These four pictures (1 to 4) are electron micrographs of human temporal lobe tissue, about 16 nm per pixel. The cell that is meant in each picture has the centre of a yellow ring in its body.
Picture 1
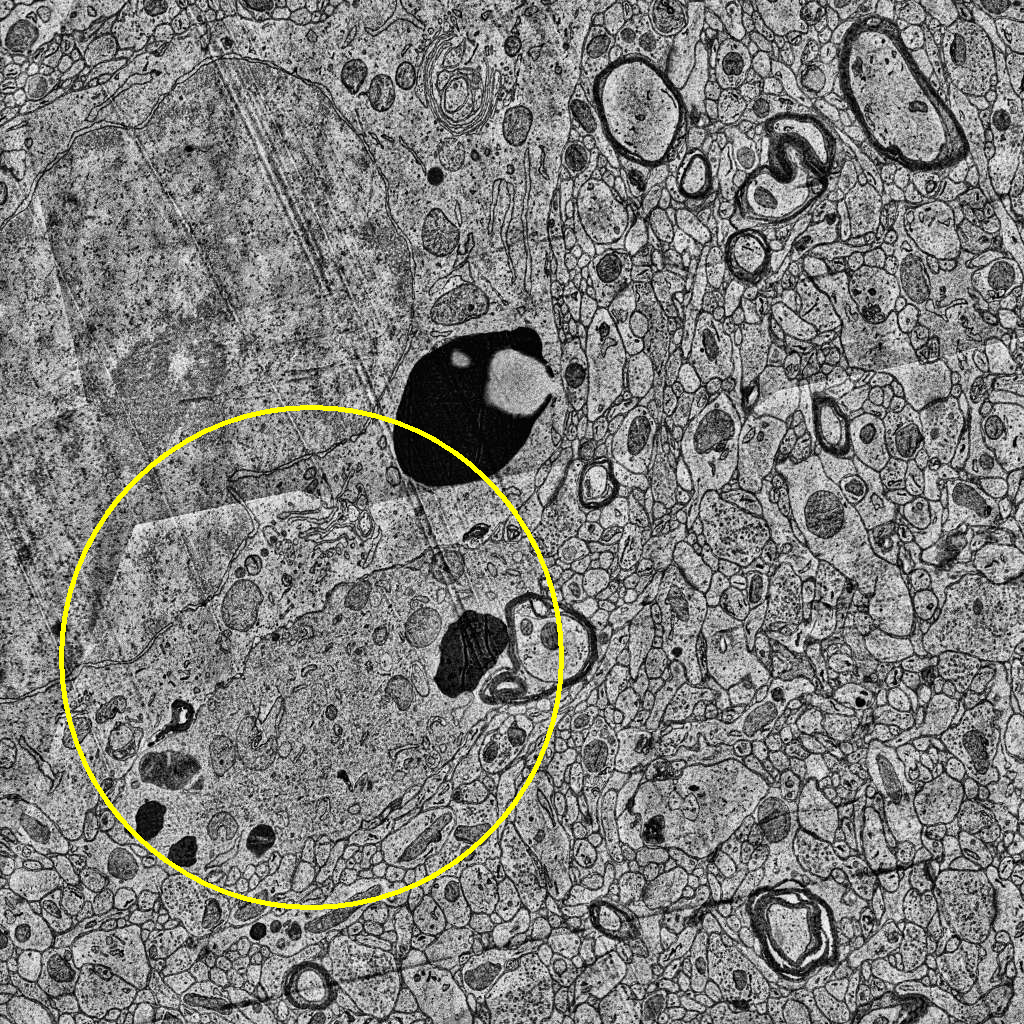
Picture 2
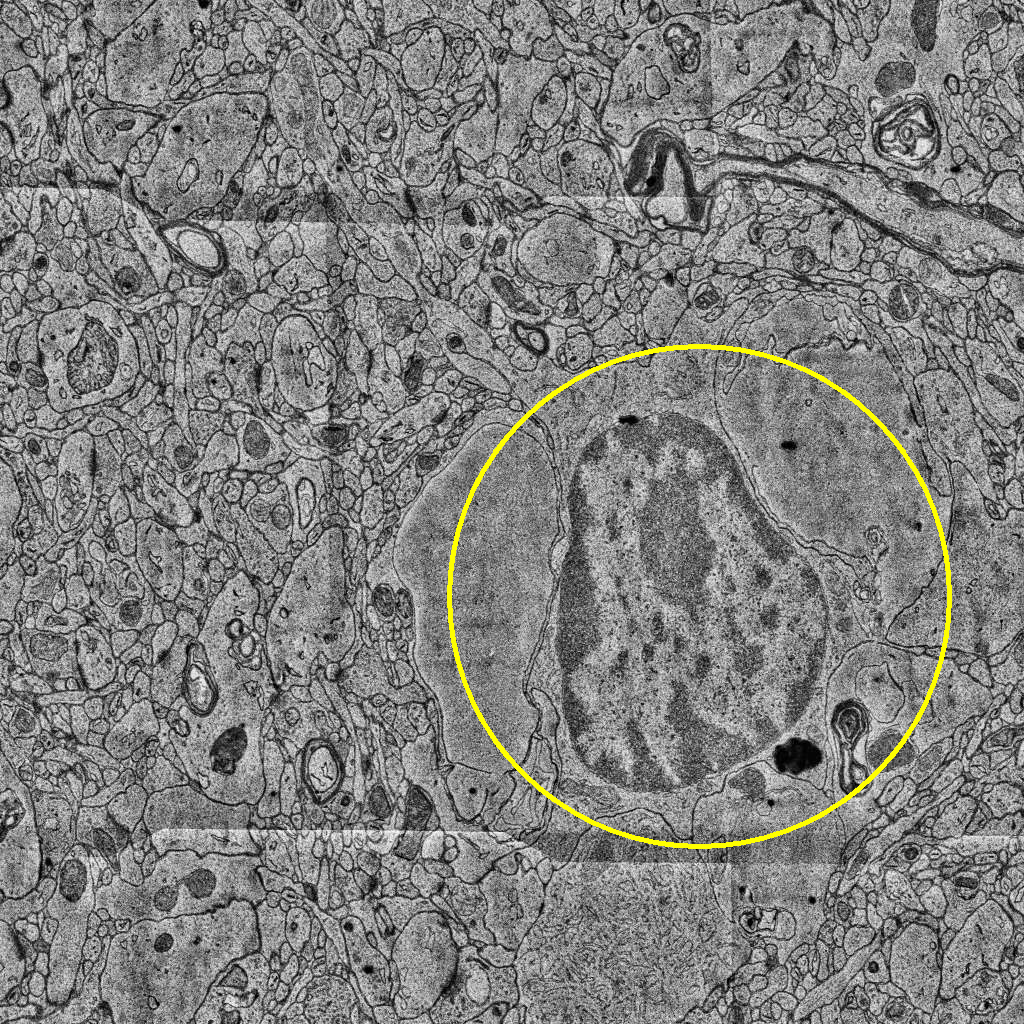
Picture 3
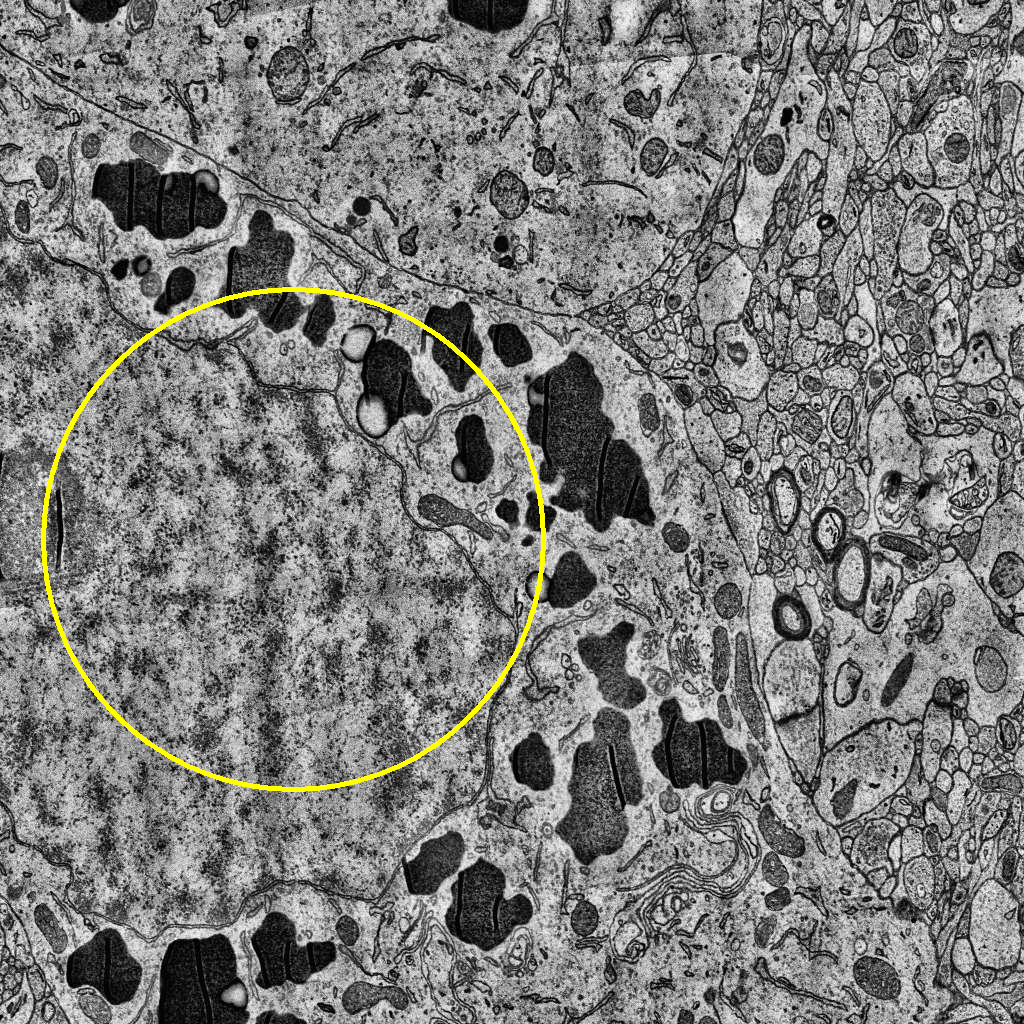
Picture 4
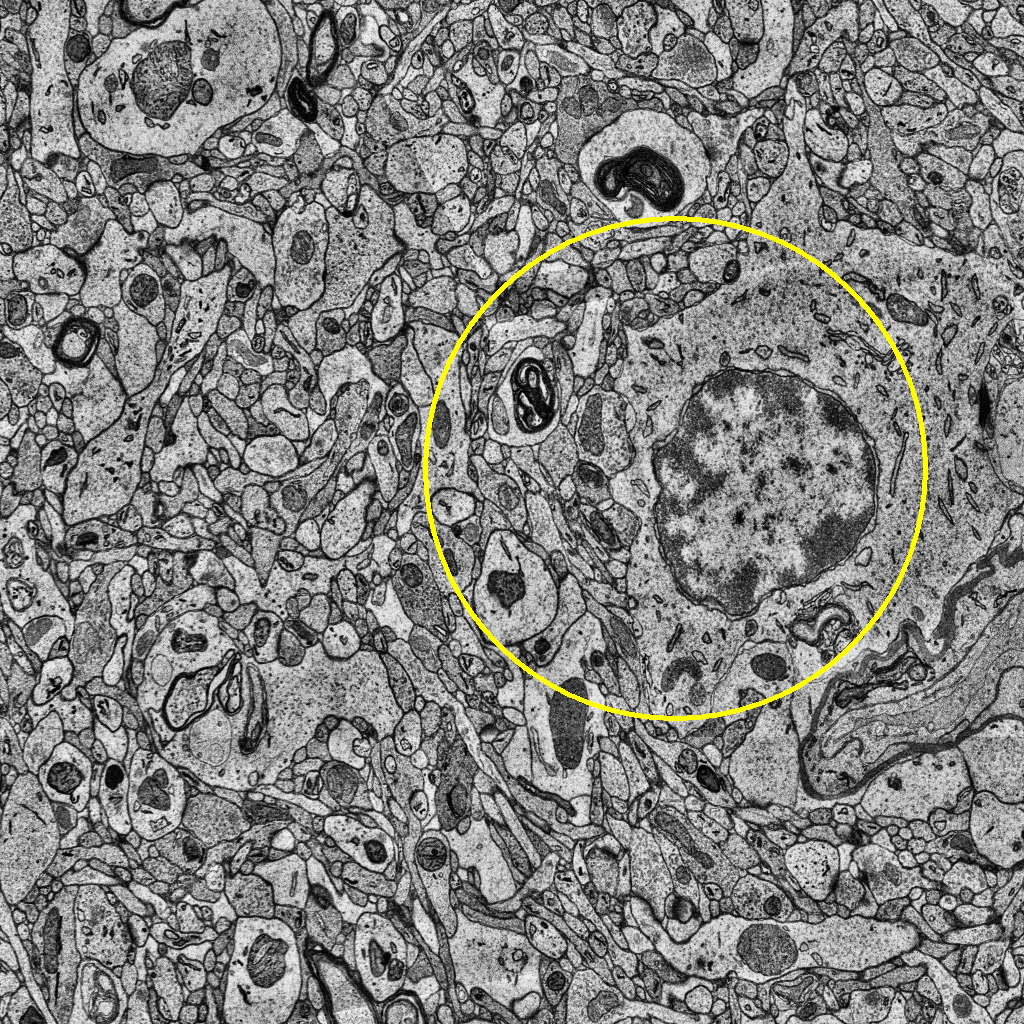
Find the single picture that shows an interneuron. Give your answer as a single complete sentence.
It is picture 3 that shows the interneuron.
